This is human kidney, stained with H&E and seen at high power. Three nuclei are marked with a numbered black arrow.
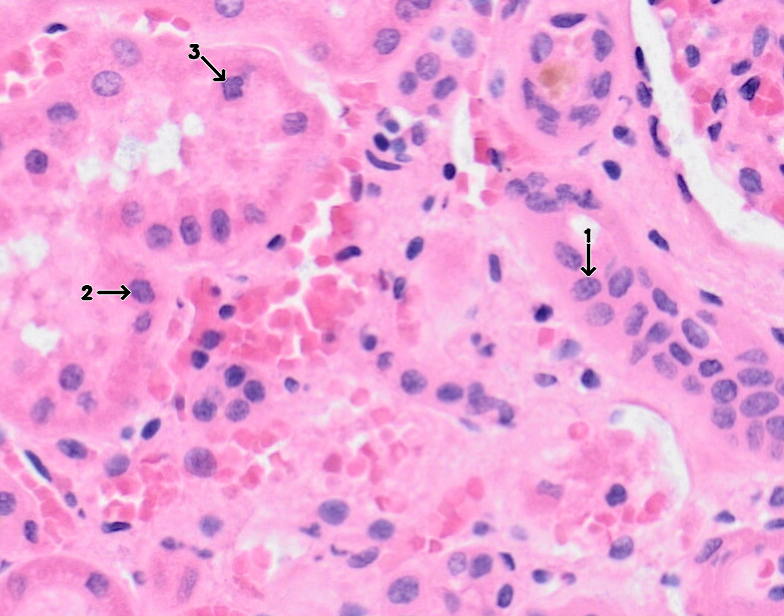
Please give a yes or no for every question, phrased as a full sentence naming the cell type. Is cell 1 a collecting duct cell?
Yes, exactly, the cell numbered 1 is a collecting duct cell.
